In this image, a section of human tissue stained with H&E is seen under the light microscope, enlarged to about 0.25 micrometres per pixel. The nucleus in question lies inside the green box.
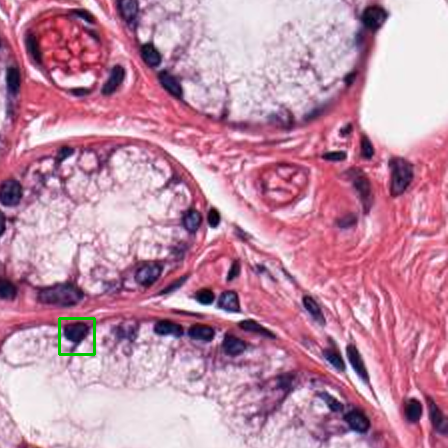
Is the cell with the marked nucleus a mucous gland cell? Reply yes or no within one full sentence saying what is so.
Yes, the nucleus singled out in the image belongs to a mucous gland cell.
